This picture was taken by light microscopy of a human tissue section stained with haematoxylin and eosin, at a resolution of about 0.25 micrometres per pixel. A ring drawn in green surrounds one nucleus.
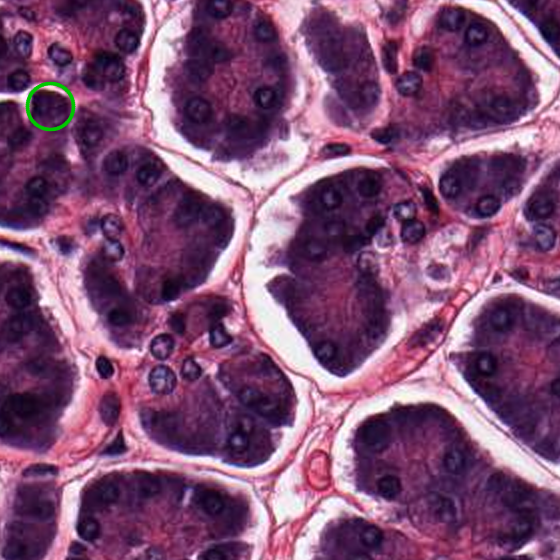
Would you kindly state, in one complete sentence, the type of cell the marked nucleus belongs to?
The mark falls on a nucleus belonging to a pancreatic acinar cell.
